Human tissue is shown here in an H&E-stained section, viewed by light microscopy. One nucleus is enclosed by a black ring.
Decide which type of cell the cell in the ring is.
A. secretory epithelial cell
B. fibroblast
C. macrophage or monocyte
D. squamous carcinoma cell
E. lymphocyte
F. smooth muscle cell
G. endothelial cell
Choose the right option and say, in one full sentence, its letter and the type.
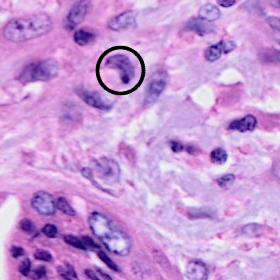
Option C is right, and the cell in the ring is a macrophage or monocyte.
